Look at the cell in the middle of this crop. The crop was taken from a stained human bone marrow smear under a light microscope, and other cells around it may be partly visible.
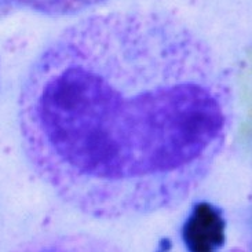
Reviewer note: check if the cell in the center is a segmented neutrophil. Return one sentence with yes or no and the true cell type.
No, the centrally placed cell is a band neutrophil, not a segmented neutrophil.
